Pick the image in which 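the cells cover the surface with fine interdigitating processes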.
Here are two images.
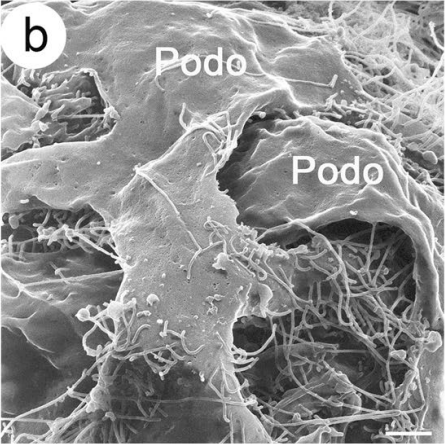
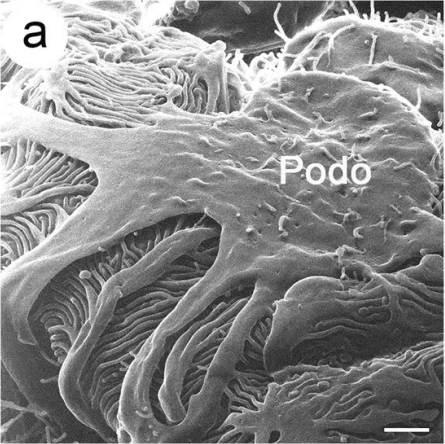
The second image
